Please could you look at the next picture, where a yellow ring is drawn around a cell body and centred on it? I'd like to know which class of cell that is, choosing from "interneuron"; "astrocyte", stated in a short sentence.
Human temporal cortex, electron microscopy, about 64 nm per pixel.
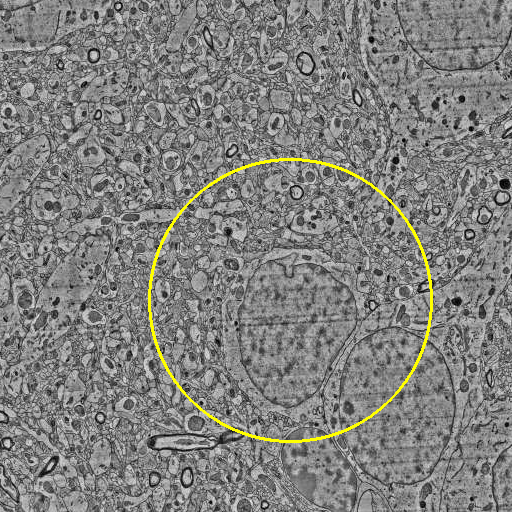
The ring's centre lies on an interneuron.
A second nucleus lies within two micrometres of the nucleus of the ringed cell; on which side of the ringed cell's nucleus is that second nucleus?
That other nucleus appears to the right of it.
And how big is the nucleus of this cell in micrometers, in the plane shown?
Approximately 9 x 8 micrometres in this plane.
